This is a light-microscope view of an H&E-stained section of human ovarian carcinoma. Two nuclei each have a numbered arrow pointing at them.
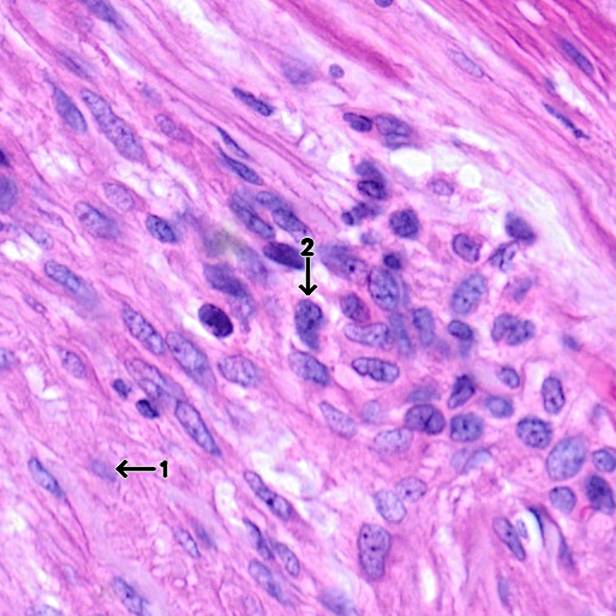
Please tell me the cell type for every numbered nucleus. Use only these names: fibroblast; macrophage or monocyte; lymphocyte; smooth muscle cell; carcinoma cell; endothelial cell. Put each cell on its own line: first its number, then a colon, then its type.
1: fibroblast
2: macrophage or monocyte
